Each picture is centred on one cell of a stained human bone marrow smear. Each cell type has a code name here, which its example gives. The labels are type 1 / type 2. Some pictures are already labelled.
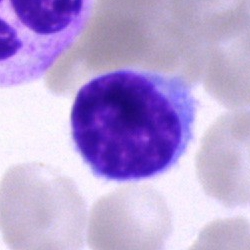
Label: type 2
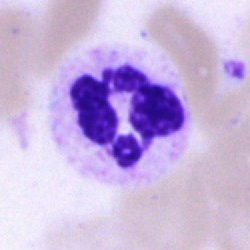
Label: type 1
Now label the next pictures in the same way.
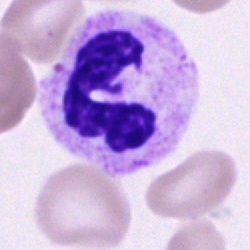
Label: type 1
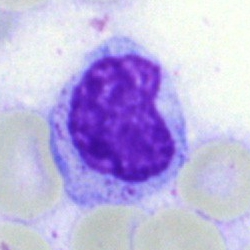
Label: type 2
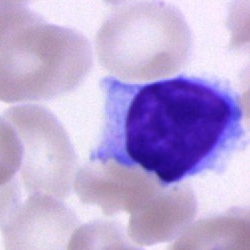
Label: type 2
